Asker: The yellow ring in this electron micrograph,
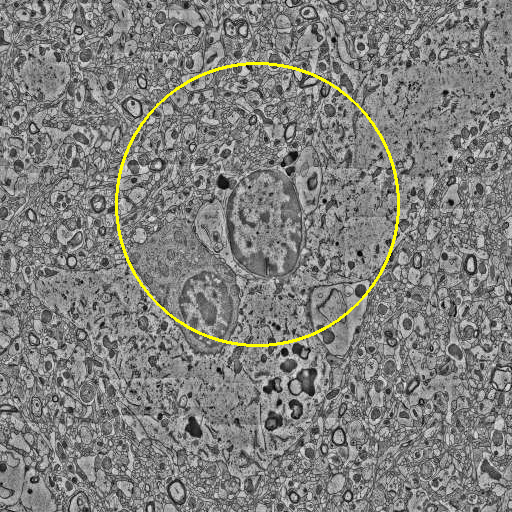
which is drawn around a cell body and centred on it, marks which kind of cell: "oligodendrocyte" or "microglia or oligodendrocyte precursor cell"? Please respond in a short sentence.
The marked cell is a microglial cell or oligodendrocyte precursor cell.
